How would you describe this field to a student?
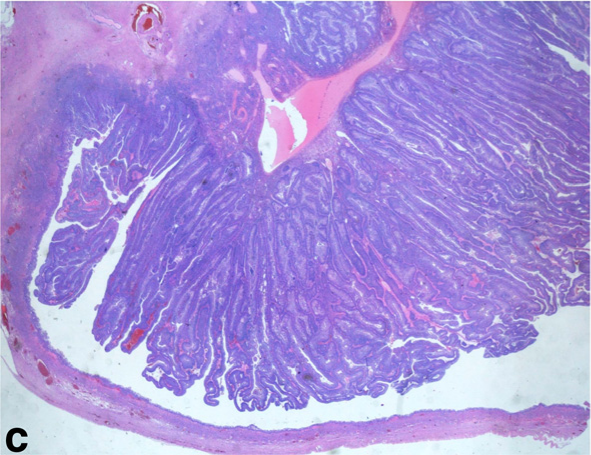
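Numerous long, slender fronds are closely packed and project into the cyst space. The fronds are covered by dark purple-staining epithelium. A thin, pink fibrous wall borders the cyst along its lower edge, and pink proteinaceous material fills a cleft in the upper part of the mass.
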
